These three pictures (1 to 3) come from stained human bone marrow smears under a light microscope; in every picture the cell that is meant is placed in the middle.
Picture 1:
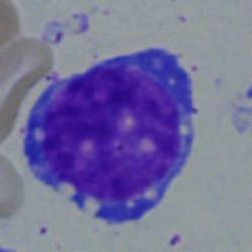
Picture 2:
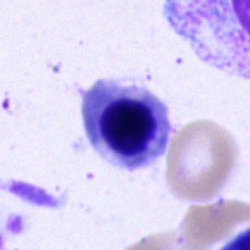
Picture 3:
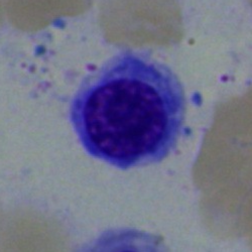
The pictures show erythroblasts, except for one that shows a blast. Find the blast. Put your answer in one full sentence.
The blast is the one in picture 1.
